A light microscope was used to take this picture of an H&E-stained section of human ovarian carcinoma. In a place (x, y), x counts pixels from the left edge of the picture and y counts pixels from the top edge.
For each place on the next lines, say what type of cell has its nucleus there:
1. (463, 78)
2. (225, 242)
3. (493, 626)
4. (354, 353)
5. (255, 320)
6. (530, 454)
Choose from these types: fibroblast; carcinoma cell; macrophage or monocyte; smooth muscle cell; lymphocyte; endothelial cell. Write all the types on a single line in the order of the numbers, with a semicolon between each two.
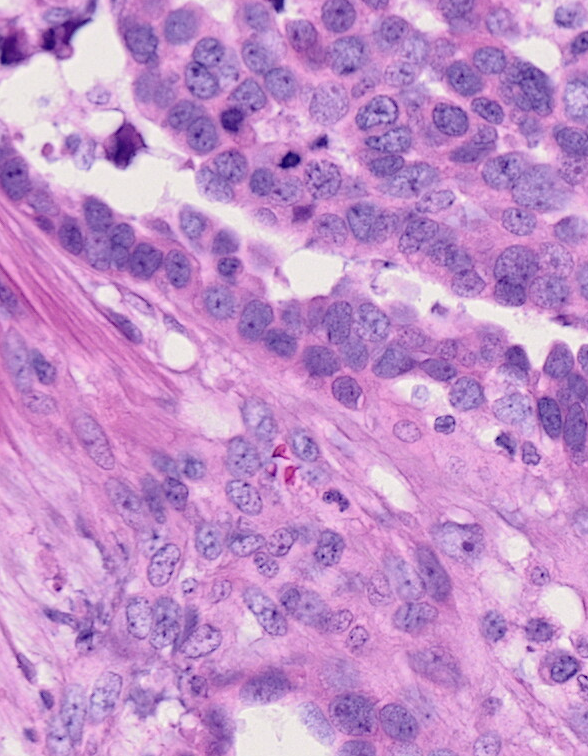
carcinoma cell; carcinoma cell; macrophage or monocyte; carcinoma cell; carcinoma cell; macrophage or monocyte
